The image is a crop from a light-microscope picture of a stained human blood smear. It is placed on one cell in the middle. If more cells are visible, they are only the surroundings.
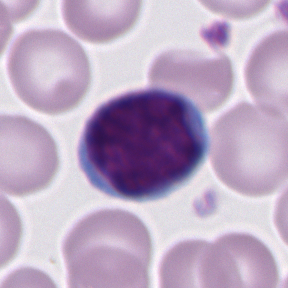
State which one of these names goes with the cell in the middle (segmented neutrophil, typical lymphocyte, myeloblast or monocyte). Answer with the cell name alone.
typical lymphocyte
